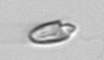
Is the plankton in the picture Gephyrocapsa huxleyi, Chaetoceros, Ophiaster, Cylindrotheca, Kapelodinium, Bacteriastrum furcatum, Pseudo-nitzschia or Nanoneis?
It is Kapelodinium.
